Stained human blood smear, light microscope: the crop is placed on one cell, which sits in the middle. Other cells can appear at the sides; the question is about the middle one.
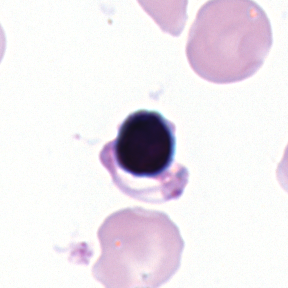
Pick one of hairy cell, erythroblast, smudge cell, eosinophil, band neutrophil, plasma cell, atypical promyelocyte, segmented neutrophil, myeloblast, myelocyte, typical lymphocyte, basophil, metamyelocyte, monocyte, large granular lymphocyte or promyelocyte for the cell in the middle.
erythroblast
